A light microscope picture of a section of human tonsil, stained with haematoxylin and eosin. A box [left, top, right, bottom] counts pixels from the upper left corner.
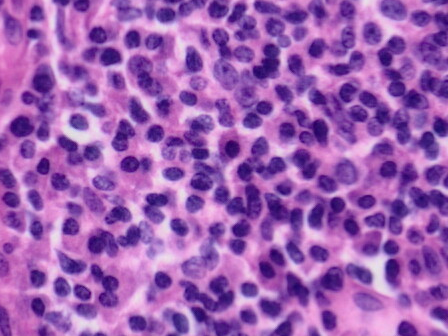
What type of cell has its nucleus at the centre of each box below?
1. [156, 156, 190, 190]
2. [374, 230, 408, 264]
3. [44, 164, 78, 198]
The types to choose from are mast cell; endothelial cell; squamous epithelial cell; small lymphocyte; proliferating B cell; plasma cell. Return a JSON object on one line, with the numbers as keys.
{"1": "small lymphocyte", "2": "small lymphocyte", "3": "plasma cell"}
